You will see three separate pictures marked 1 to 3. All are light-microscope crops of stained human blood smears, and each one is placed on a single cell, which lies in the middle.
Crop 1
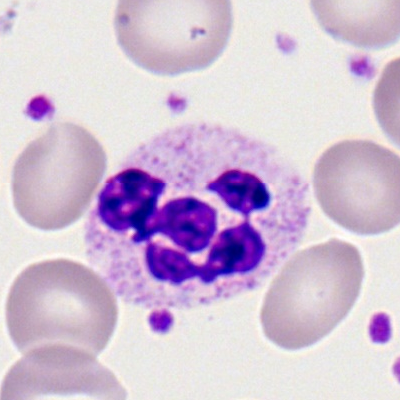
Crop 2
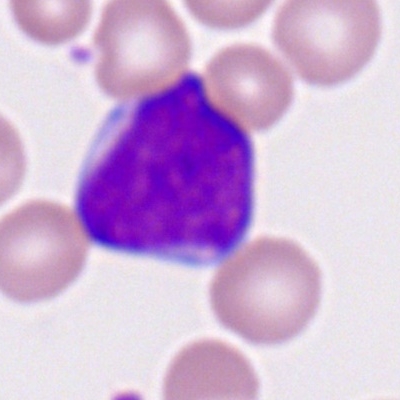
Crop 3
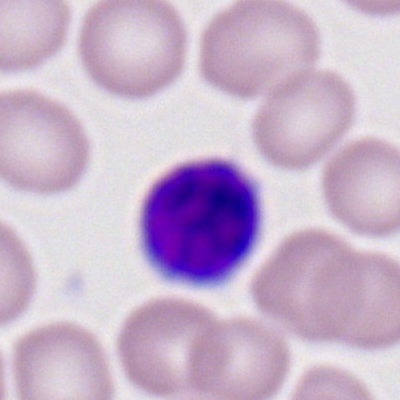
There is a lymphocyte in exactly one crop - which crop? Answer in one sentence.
Crop 3 is the crop featuring a lymphocyte at its center.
